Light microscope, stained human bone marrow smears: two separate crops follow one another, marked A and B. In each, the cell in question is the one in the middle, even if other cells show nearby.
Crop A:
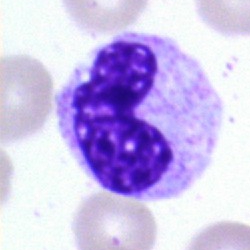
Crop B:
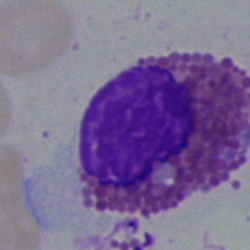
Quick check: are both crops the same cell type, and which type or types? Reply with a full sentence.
No, crop A corresponds to a band neutrophil, while crop B corresponds to an eosinophil.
